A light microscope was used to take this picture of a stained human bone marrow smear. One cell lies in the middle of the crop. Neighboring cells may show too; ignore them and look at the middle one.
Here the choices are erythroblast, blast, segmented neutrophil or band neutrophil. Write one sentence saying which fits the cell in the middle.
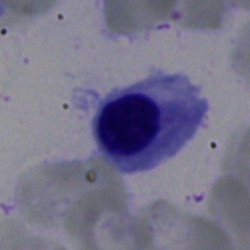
The cell at the central position in this crop is an erythroblast.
